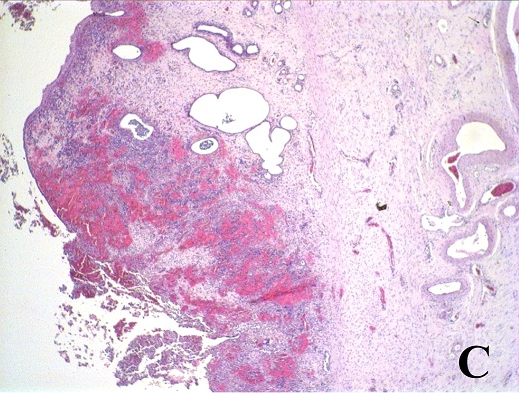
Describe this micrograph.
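A low-power section through the uterine wall showing cystic endometrial hyperplasia with hemorrhage. In the upper part of the endometrium, numerous glands are widened into clear, rounded to irregular cystic spaces of varying size. The superficial endometrium toward the left edge is broadly filled with bright red blood mixed with purple cellular areas, and its surface is ragged.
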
